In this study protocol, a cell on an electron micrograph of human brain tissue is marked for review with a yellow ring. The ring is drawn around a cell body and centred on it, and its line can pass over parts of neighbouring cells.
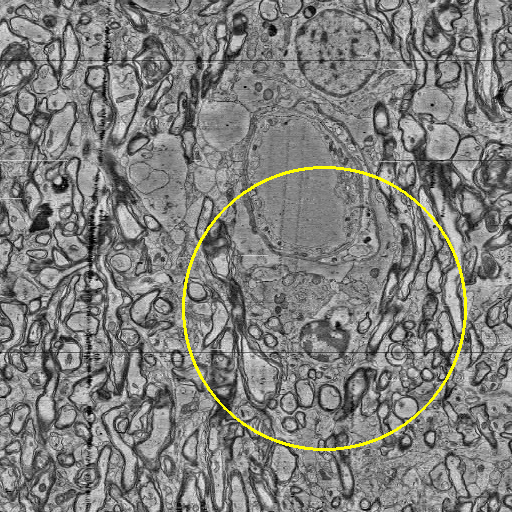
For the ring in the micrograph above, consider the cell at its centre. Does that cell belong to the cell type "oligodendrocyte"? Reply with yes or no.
no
